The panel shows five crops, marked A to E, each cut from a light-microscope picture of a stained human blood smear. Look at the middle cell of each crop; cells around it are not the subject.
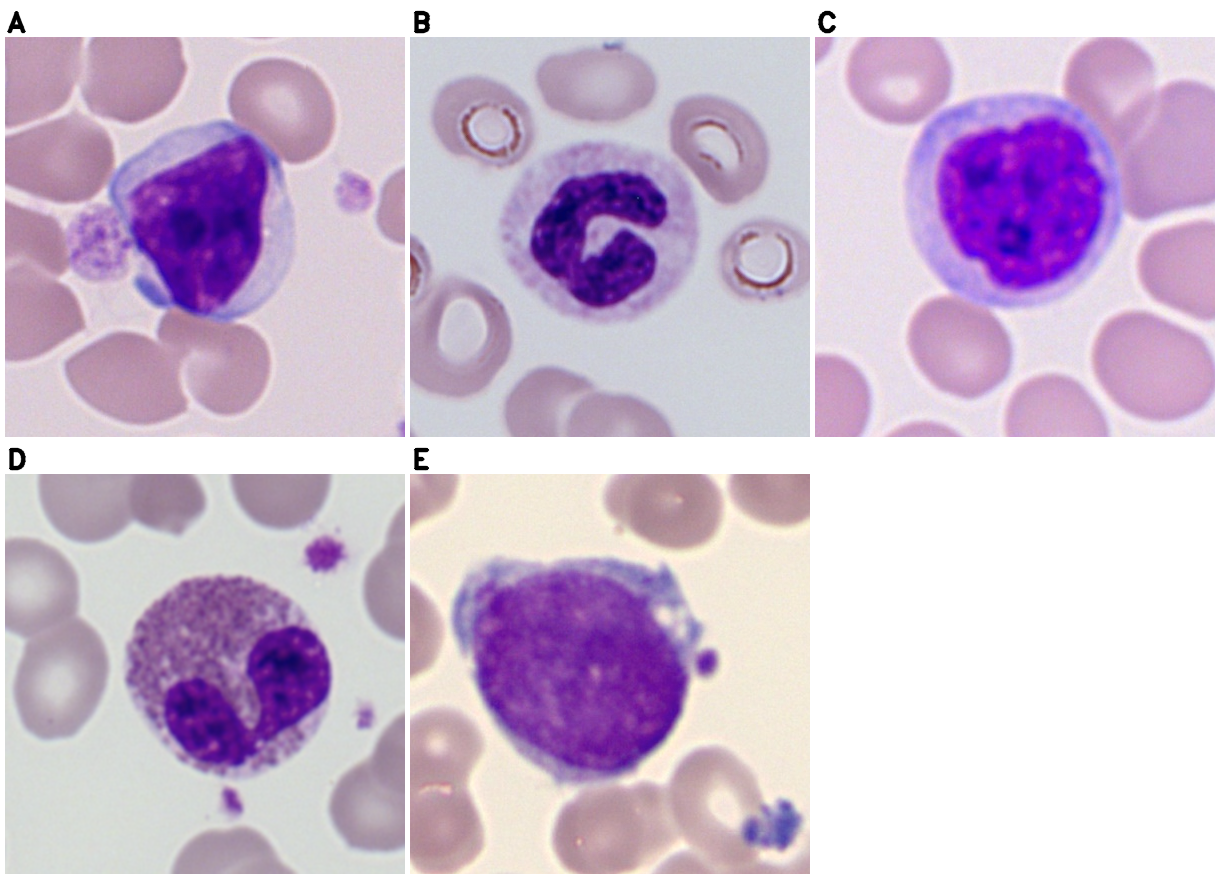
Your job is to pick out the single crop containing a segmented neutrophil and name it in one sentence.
Selected crop: B, which is the one that shows a segmented neutrophil.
